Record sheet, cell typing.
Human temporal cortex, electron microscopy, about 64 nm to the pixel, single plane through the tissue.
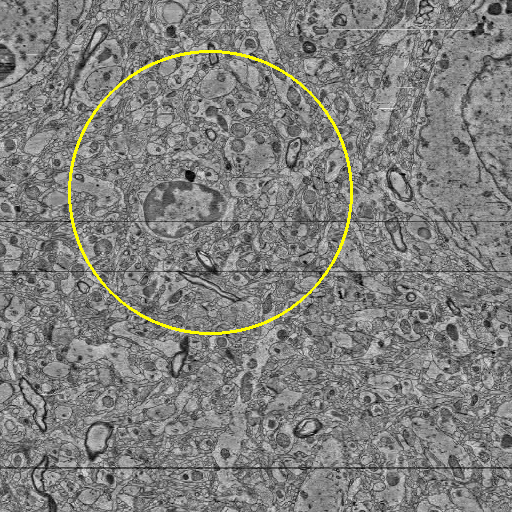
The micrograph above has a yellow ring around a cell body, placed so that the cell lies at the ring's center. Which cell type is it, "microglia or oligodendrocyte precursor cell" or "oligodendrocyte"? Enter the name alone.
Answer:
microglia or oligodendrocyte precursor cell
